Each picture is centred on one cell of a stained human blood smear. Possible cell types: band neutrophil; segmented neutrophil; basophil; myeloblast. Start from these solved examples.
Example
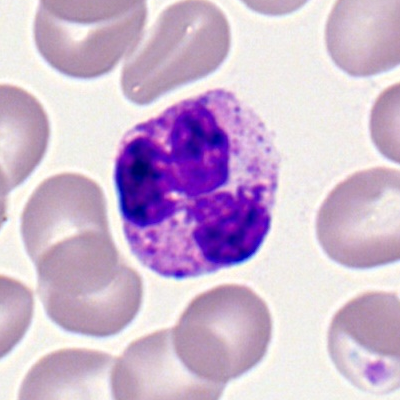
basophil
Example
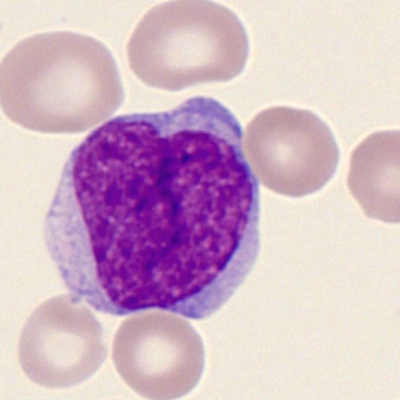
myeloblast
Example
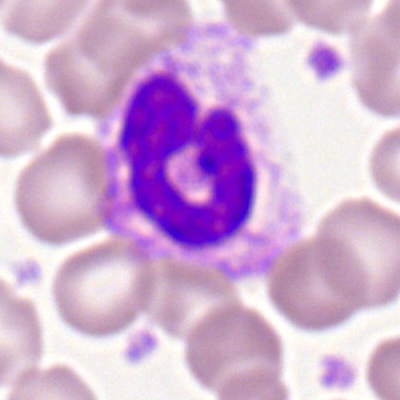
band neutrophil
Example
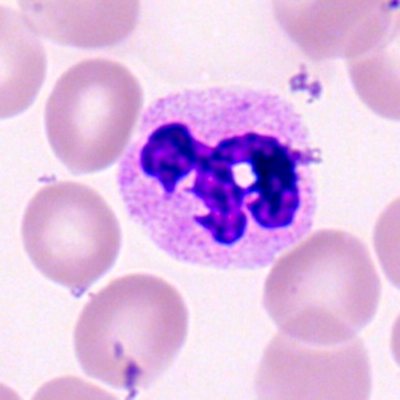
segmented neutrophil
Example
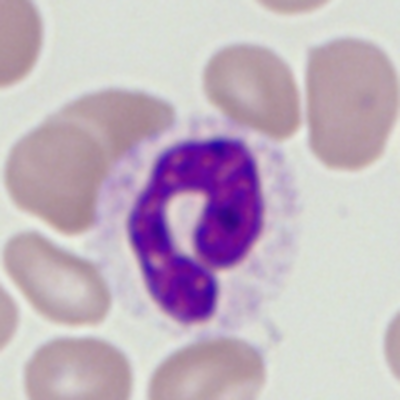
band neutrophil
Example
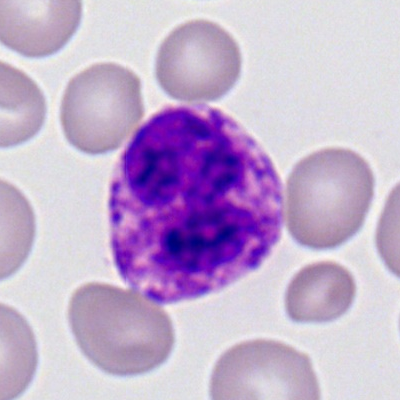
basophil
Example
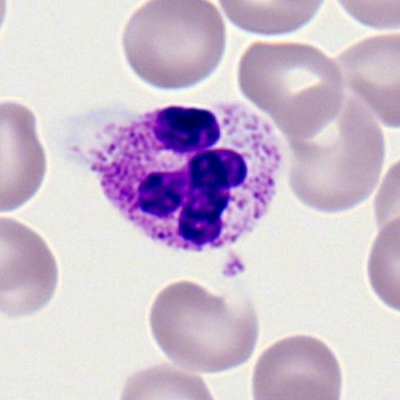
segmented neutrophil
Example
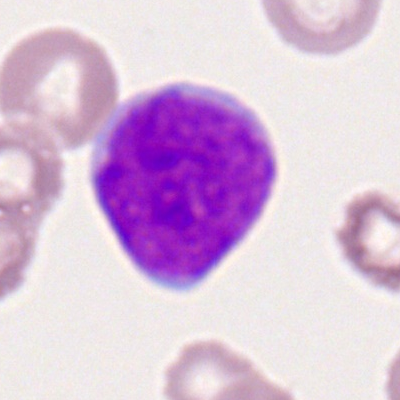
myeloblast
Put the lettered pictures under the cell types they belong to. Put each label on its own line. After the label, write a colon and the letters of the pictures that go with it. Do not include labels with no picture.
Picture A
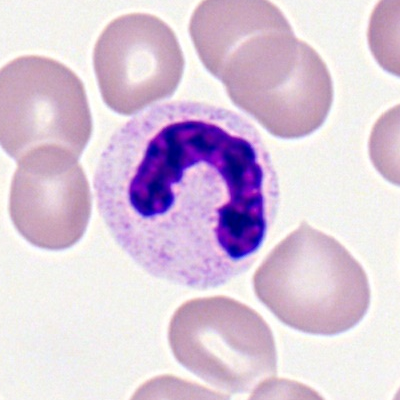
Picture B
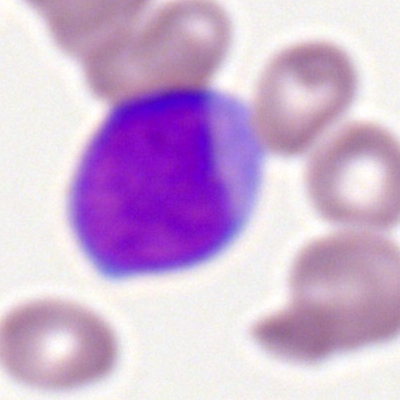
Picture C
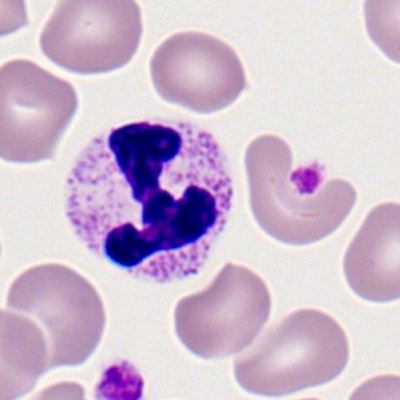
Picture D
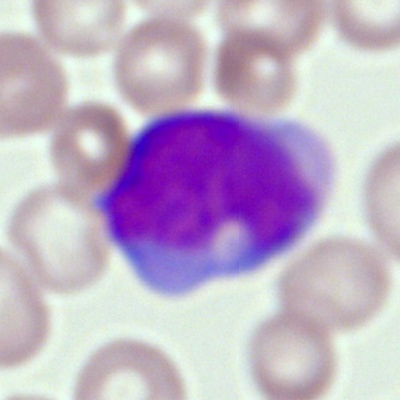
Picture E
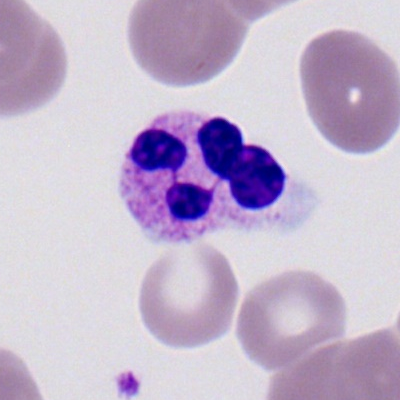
band neutrophil: A
segmented neutrophil: C, E
myeloblast: B, D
